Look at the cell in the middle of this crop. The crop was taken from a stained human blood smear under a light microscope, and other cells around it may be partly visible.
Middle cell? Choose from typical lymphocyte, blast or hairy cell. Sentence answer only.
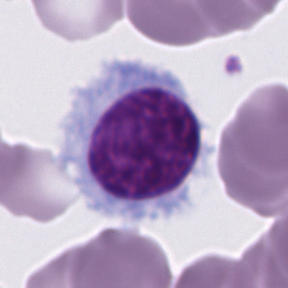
At the middle of the frame sits a hairy cell.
